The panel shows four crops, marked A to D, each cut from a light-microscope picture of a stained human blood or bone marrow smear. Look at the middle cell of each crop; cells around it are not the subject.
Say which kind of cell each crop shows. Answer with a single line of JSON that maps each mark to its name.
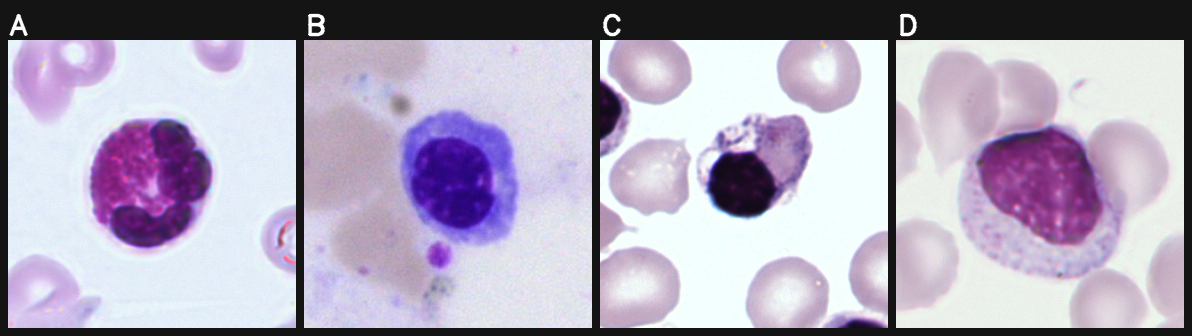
{"A": "eosinophil", "B": "normoblast", "C": "normoblast", "D": "metamyelocyte"}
